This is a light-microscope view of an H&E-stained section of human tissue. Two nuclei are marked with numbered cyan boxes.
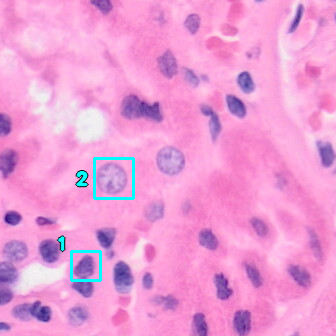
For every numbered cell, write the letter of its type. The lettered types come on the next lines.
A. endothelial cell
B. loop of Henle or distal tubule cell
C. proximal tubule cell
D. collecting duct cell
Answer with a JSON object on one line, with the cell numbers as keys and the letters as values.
{"1": "D", "2": "C"}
